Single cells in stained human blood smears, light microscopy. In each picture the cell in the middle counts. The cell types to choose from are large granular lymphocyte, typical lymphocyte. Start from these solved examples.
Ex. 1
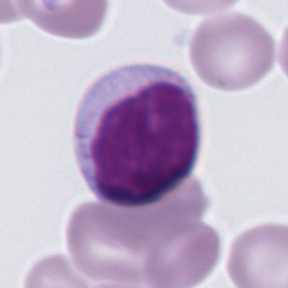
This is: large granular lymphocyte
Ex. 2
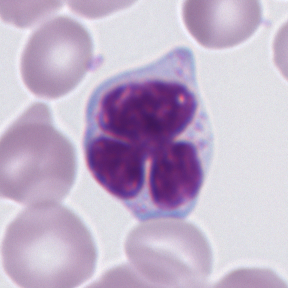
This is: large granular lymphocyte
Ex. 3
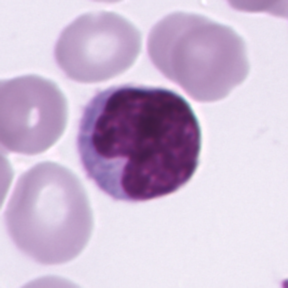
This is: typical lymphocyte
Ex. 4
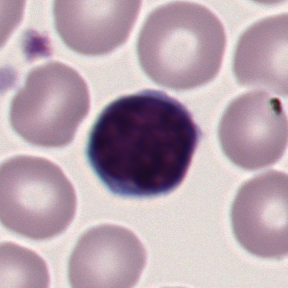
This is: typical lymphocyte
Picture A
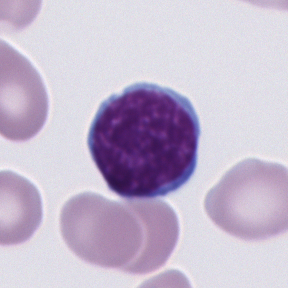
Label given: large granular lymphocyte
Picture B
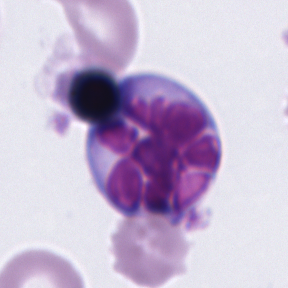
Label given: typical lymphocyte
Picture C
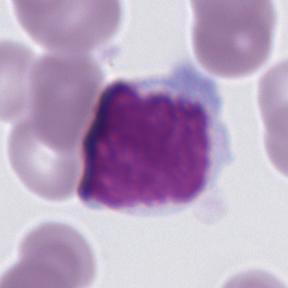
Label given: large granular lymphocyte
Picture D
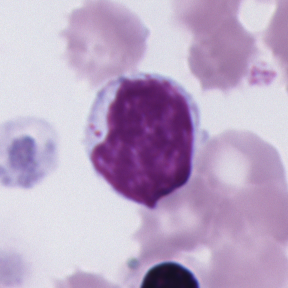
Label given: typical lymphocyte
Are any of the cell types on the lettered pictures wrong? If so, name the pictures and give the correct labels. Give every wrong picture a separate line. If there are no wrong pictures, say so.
A: change large granular lymphocyte to typical lymphocyte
